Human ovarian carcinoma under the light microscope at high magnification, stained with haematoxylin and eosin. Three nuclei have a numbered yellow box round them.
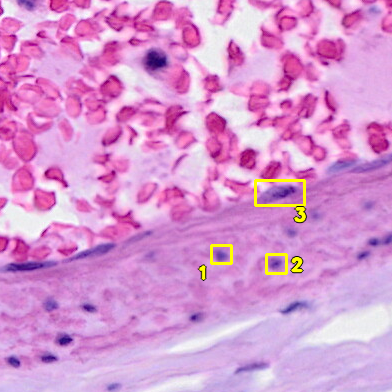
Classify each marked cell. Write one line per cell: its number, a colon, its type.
1: smooth muscle cell
2: smooth muscle cell
3: endothelial cell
